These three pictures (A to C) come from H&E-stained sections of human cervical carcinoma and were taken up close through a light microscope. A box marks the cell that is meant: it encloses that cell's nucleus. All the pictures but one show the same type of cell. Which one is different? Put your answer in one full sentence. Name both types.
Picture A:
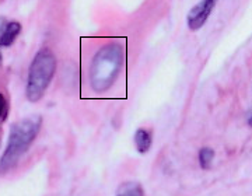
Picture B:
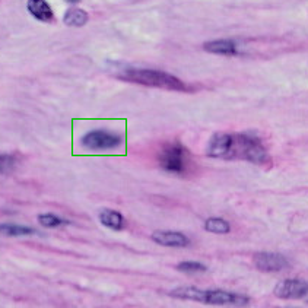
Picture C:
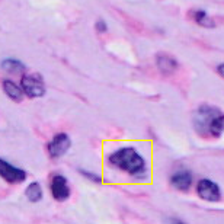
The different one is picture A; it shows an endothelial cell, whereas all the others show lymphocytes.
